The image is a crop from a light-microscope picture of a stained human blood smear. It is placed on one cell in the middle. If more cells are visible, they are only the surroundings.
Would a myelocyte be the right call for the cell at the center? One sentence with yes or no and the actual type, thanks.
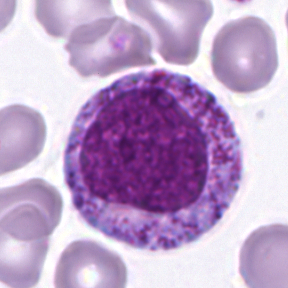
Yes, placed in the middle of the crop is a myelocyte.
